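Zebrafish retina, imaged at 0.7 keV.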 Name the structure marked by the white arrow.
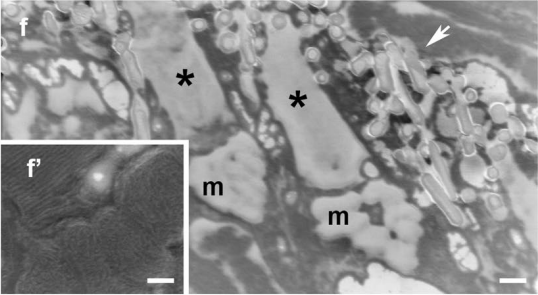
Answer: Melanin granules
